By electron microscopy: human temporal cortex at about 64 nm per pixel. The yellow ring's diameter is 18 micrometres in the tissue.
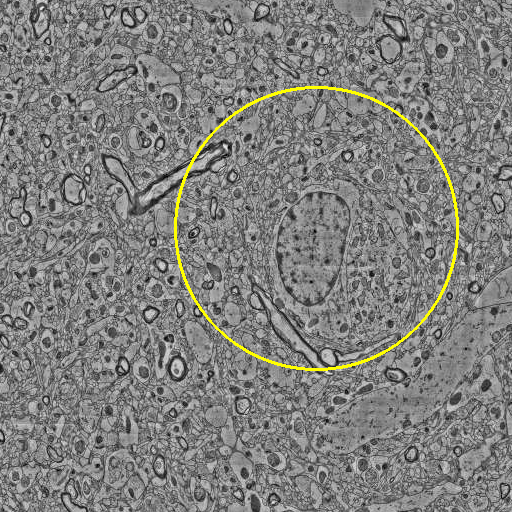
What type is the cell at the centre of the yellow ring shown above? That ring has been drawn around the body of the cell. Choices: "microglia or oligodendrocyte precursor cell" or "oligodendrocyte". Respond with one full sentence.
My answer is that a microglial cell or oligodendrocyte precursor cell lies at the centre of the yellow ring above.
